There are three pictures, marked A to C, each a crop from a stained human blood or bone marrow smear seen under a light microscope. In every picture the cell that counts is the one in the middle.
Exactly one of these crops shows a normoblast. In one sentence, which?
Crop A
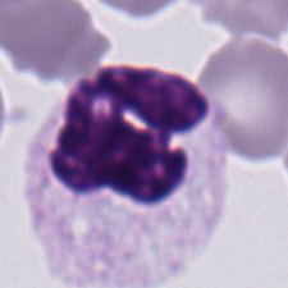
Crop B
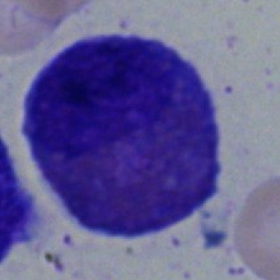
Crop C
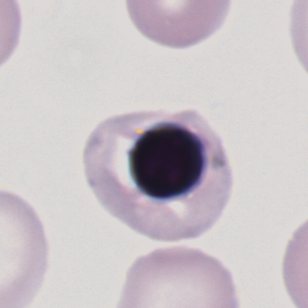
It is crop C, not any other, that shows a normoblast.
